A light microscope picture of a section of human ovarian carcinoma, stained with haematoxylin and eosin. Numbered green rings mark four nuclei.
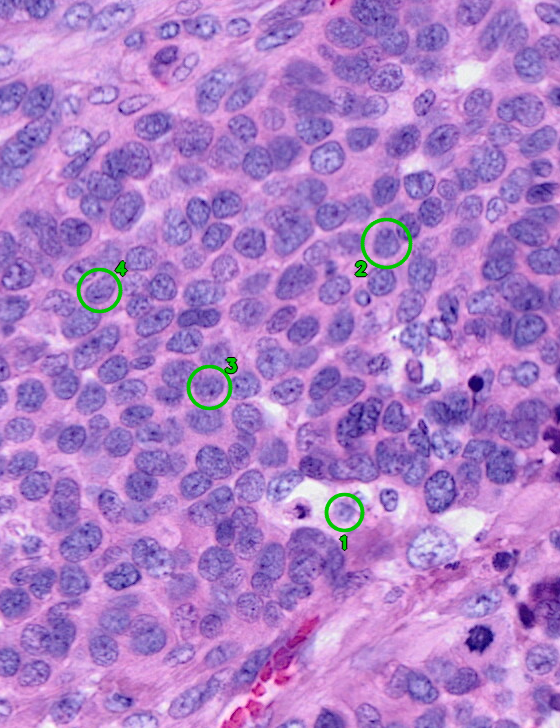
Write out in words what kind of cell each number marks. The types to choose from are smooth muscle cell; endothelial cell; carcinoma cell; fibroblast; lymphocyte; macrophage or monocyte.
Cell 1 is a macrophage or monocyte. Cells 2, 3 and 4 are carcinoma cells.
